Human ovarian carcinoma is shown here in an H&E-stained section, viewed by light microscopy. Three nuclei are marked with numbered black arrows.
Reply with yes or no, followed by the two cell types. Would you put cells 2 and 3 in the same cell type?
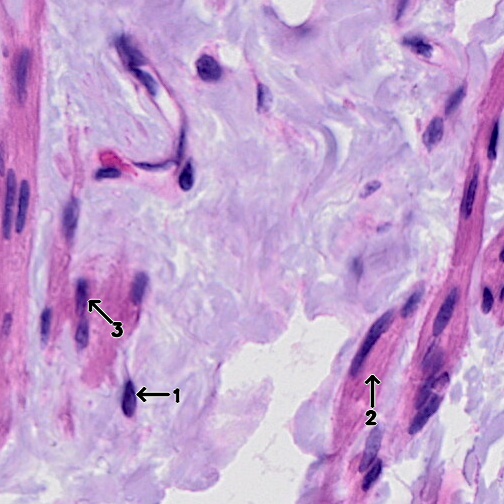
Yes, cells number 2 and number 3 are both smooth muscle cells.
